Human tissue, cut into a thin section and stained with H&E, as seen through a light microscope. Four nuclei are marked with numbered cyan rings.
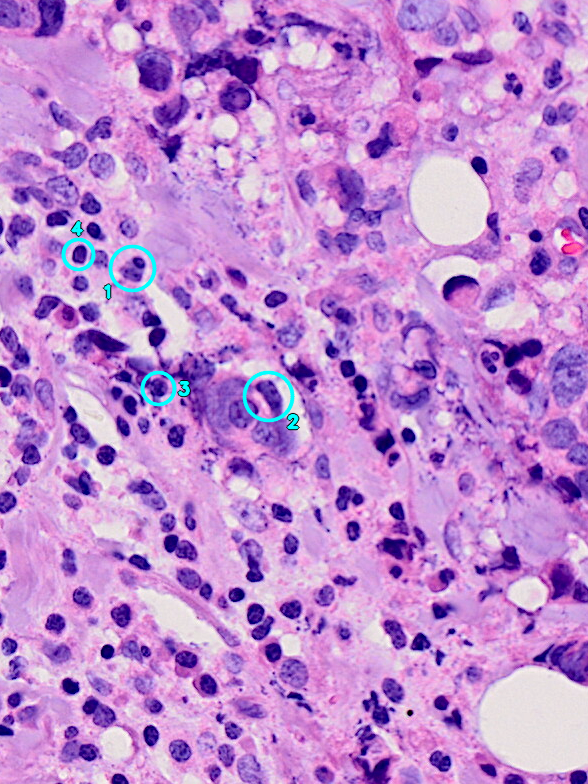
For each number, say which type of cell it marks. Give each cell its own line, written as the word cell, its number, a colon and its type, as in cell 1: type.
cell 1: lymphocyte
cell 2: carcinoma cell
cell 3: lymphocyte
cell 4: lymphocyte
